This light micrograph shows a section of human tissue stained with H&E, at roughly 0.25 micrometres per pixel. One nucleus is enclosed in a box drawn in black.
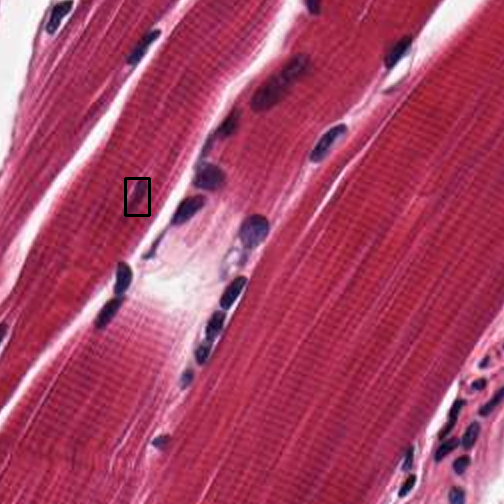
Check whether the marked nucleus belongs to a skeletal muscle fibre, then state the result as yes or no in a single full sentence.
Yes, here the marked nucleus belongs to a skeletal muscle fibre.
